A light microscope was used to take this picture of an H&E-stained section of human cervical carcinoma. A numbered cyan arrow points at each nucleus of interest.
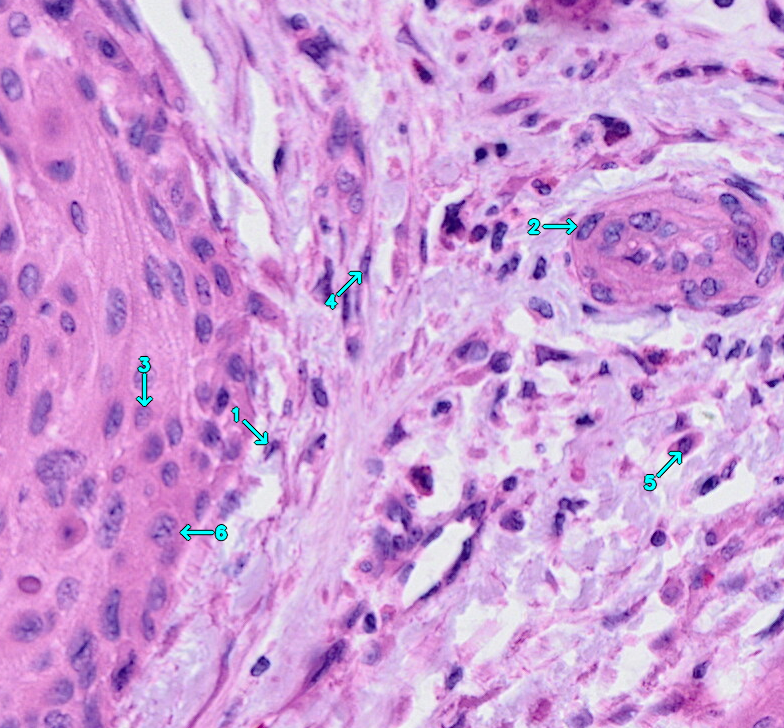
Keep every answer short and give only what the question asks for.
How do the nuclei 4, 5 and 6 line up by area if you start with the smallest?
5, 4, 6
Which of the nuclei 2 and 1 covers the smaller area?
1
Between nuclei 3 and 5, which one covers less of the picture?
5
